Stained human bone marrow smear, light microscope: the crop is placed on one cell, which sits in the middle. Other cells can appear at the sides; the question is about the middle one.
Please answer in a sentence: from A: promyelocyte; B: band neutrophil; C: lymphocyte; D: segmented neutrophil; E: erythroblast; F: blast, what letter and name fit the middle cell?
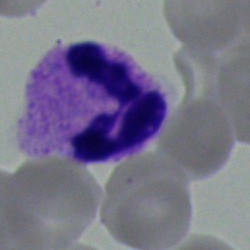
The cell placed in the middle is a segmented neutrophil; option D is correct.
